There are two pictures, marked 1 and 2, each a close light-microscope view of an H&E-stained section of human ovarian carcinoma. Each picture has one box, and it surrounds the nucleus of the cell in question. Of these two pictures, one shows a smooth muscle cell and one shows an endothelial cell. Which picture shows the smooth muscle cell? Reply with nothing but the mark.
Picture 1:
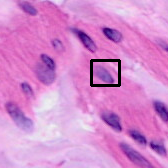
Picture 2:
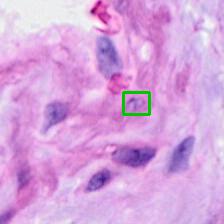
1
